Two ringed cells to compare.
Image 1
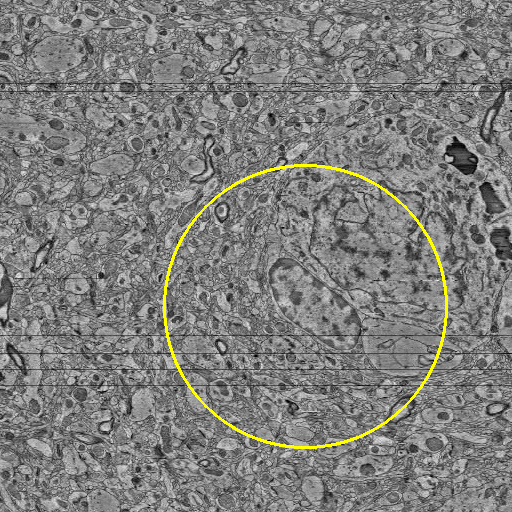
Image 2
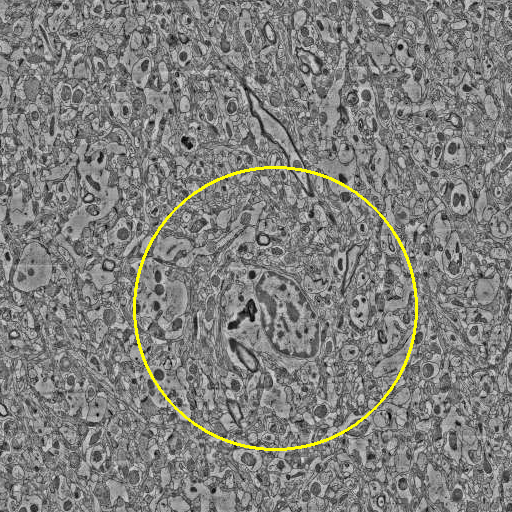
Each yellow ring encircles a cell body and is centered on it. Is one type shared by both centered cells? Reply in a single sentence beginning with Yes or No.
Yes, a single type is shared by the two cells at the centers of the rings.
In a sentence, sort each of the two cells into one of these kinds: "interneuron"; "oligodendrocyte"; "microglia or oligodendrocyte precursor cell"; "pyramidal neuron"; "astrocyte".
The cell in the first picture is a microglial cell or oligodendrocyte precursor cell, and so is the one in the second.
